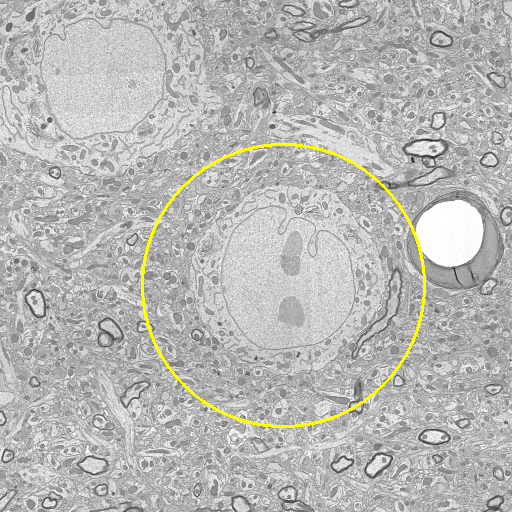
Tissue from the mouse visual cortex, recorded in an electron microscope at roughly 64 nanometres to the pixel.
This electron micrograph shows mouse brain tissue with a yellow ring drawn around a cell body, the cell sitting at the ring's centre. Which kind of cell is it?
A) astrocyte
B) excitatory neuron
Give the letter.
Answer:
B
